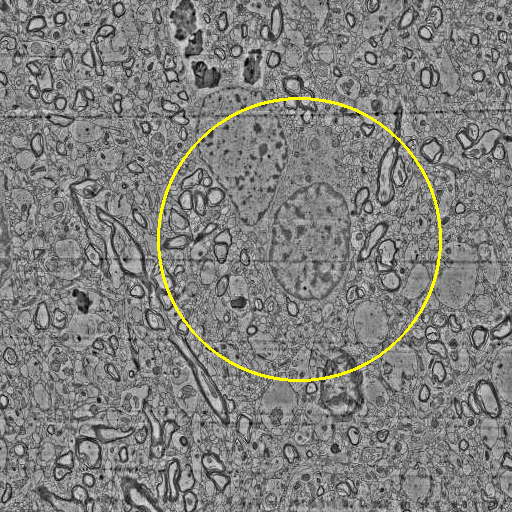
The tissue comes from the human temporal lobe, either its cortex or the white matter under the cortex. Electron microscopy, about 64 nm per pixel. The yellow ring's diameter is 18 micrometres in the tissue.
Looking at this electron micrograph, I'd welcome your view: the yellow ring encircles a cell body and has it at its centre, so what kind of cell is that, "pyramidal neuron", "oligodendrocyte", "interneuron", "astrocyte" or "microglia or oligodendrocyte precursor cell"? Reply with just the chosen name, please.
oligodendrocyte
